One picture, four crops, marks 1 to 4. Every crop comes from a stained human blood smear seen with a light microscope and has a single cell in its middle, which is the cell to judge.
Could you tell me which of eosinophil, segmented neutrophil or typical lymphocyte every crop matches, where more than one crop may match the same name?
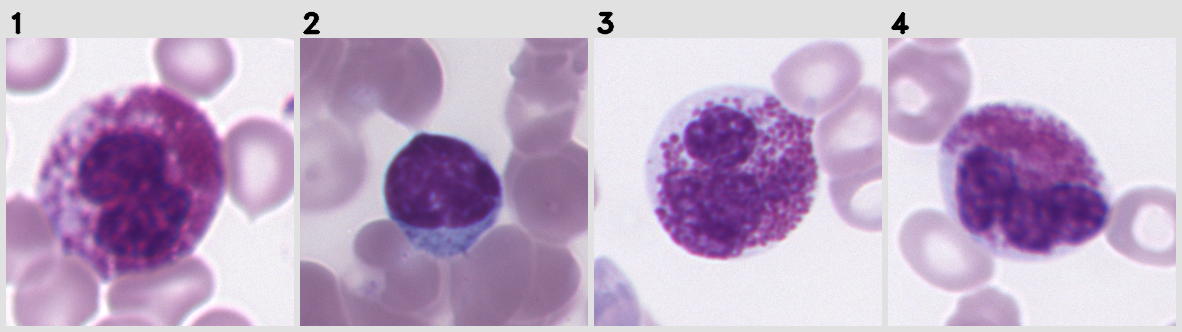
1: eosinophil
2: typical lymphocyte
3: eosinophil
4: eosinophil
